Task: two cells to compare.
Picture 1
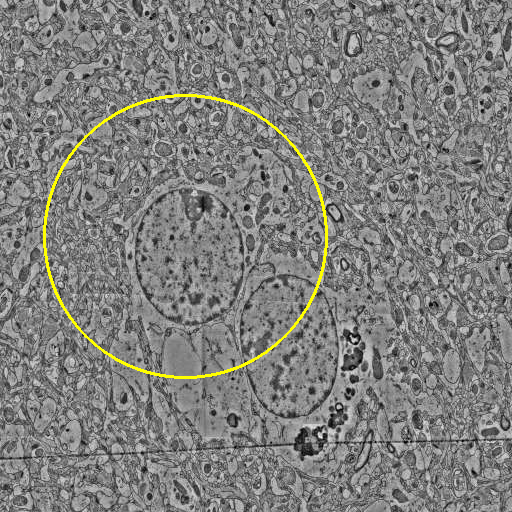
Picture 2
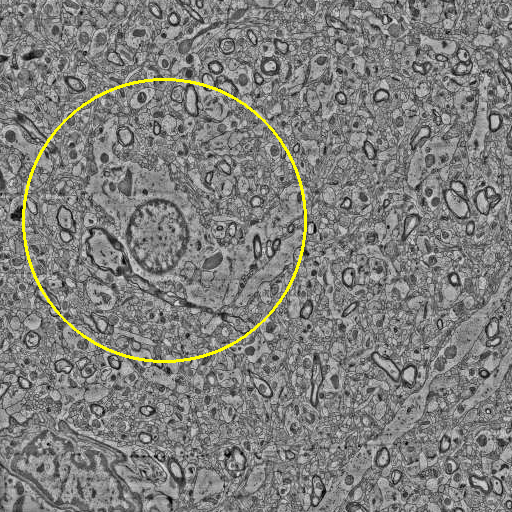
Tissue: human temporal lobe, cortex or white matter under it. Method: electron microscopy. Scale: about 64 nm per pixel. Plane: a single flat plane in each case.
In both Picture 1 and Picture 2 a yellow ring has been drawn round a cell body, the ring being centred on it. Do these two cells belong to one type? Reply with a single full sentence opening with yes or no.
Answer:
Yes, the two cells at the ring centres in Picture 1 and Picture 2 share one type.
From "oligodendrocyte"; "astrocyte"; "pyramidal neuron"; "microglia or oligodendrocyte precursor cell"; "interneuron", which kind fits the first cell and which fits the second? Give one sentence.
Each cell at the centre of a ring is an astrocyte.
